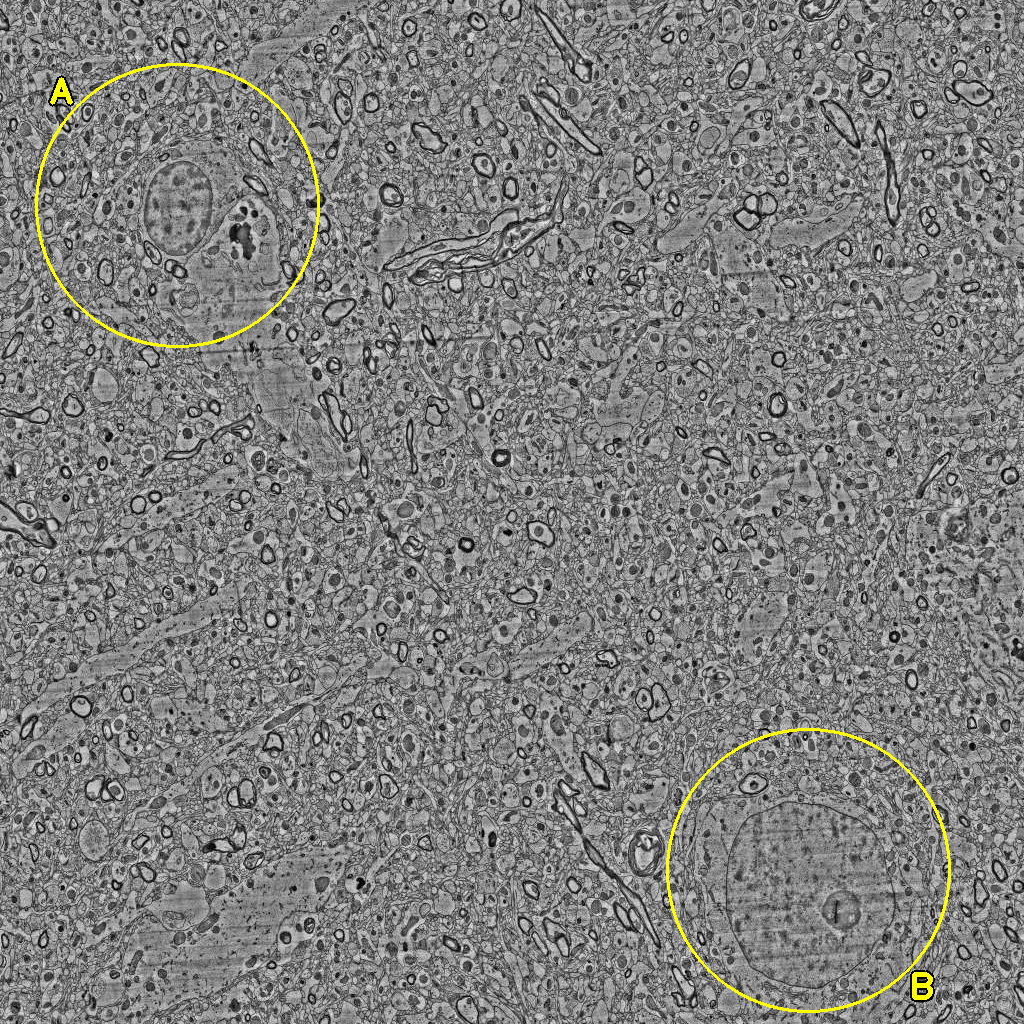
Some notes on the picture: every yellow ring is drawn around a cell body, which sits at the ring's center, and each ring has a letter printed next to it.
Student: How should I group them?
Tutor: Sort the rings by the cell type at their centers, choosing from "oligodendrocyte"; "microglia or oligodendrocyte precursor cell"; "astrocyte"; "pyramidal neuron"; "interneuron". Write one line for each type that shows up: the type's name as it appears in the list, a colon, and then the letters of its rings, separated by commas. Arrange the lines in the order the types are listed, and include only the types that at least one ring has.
oligodendrocyte: A
pyramidal neuron: B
